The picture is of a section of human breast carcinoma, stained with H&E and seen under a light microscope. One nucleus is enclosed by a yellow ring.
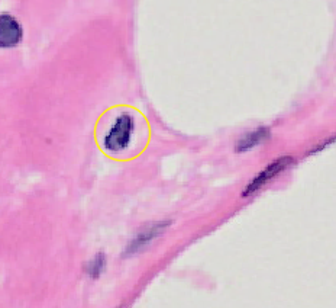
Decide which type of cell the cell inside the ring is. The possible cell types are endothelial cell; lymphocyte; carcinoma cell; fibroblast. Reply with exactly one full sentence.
The classification of the cell inside the ring is as a lymphocyte.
